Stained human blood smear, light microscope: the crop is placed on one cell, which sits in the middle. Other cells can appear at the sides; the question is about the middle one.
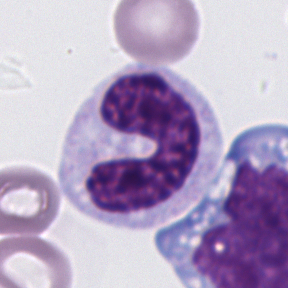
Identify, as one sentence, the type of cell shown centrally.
In the centre of this crop there is a band neutrophil.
